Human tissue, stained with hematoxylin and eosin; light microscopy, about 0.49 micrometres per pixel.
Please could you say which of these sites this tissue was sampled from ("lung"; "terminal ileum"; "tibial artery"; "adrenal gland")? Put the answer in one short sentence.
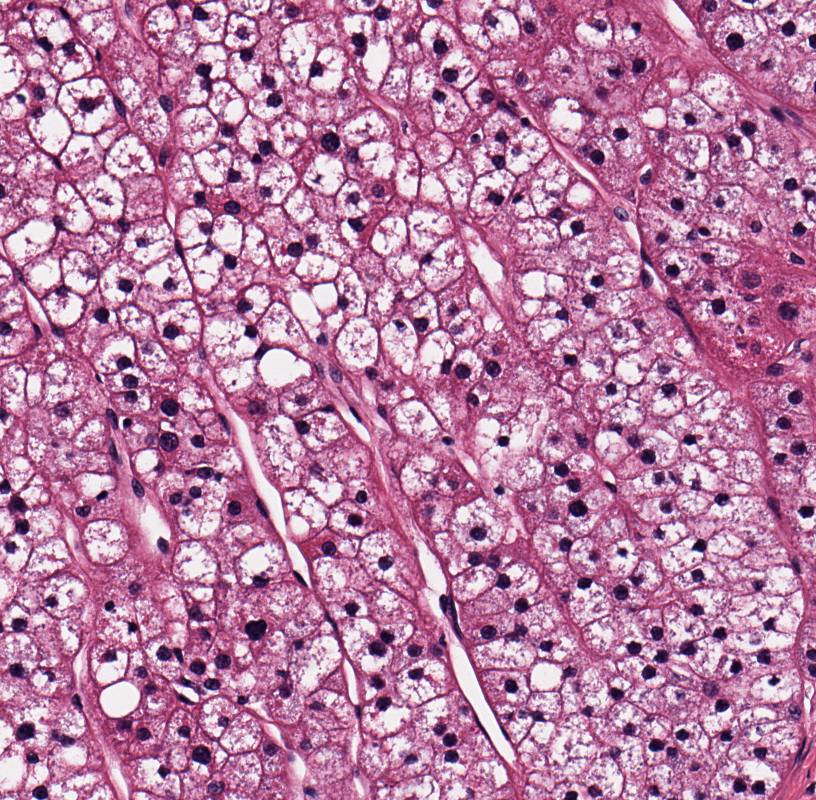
The site this tissue was sampled from is the adrenal gland.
